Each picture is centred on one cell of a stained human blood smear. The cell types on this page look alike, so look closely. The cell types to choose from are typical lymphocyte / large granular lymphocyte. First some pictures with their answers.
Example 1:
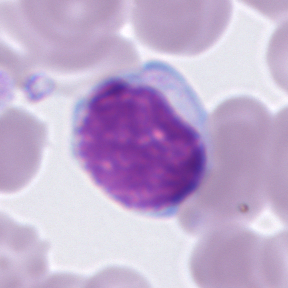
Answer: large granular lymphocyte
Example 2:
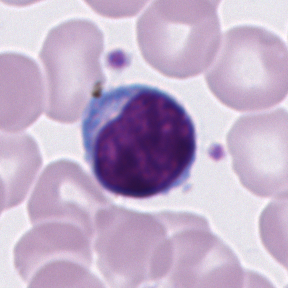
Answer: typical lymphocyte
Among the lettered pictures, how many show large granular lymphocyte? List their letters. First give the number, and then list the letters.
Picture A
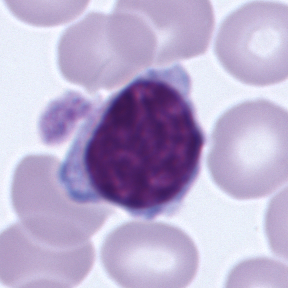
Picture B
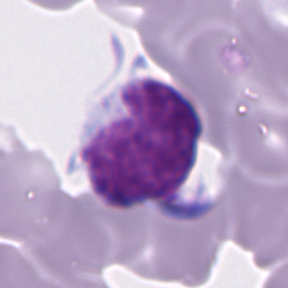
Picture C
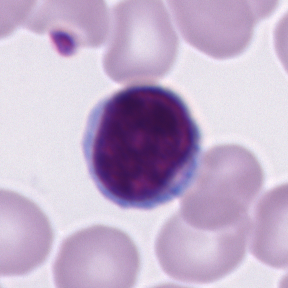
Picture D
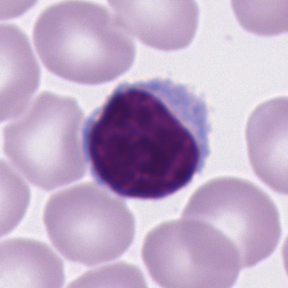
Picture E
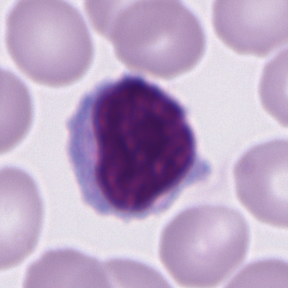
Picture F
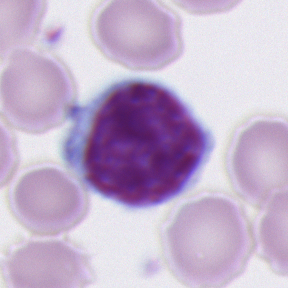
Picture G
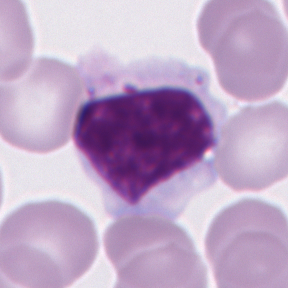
Count: 1 (G)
